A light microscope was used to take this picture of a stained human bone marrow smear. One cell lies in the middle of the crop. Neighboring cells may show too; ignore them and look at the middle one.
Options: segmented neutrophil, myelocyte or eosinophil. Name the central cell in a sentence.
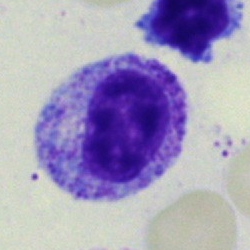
By type, the central cell of the crop is a myelocyte.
